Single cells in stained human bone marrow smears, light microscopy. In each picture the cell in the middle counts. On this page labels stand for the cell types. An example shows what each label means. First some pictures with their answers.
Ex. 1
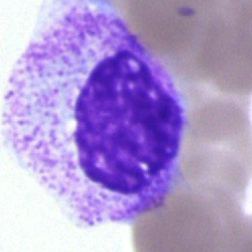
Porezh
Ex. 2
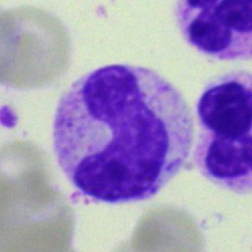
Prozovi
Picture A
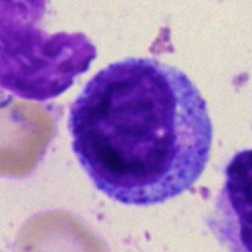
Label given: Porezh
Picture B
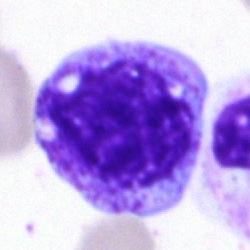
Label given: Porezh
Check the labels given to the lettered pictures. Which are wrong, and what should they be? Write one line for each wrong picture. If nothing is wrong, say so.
No label is wrong.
